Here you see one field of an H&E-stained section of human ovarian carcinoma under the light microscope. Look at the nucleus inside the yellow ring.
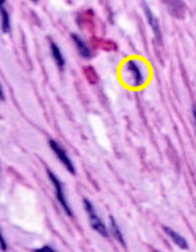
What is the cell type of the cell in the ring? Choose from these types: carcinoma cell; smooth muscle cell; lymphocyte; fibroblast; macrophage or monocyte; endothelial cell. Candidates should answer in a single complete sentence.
The correct response here is that the cell in the ring is a fibroblast.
